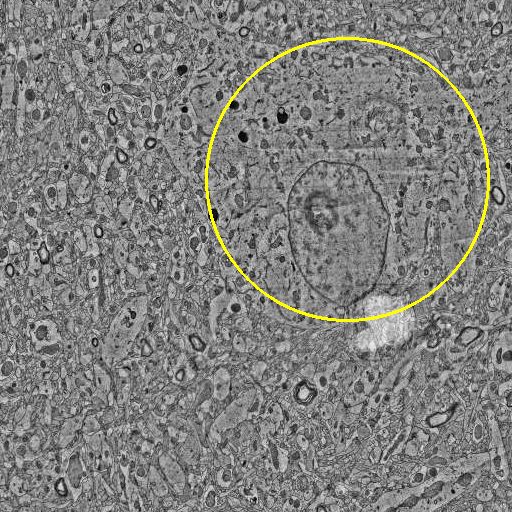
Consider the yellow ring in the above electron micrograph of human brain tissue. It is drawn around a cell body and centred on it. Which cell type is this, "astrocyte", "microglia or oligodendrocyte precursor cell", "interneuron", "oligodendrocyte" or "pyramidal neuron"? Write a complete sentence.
The cell in question is a pyramidal neuron.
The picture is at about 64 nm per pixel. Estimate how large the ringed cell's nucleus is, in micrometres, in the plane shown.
The ringed cell's nucleus measures approximately 9 by 7 micrometres in this plane.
